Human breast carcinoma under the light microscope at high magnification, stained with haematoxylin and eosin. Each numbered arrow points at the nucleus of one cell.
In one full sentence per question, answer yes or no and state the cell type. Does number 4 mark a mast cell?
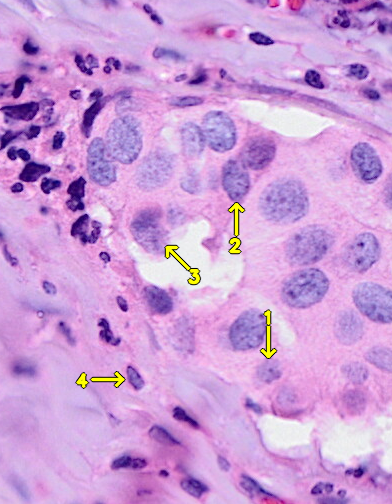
Yes, that one, number 4, is a mast cell.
